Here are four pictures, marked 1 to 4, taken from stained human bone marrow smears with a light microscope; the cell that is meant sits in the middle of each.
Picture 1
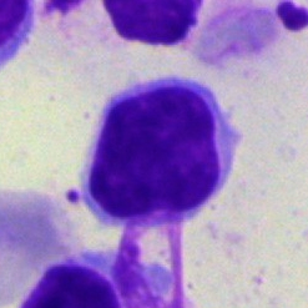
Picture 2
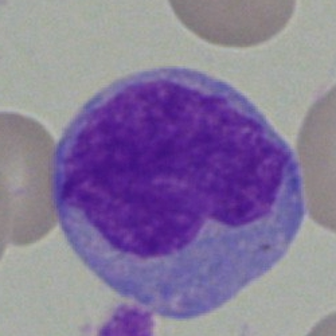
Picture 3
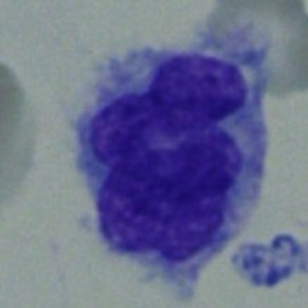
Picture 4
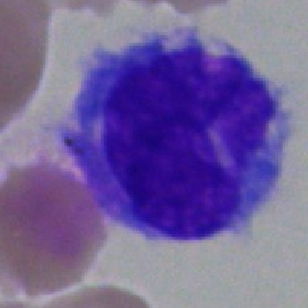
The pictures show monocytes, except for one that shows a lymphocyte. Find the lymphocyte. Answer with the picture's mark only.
1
